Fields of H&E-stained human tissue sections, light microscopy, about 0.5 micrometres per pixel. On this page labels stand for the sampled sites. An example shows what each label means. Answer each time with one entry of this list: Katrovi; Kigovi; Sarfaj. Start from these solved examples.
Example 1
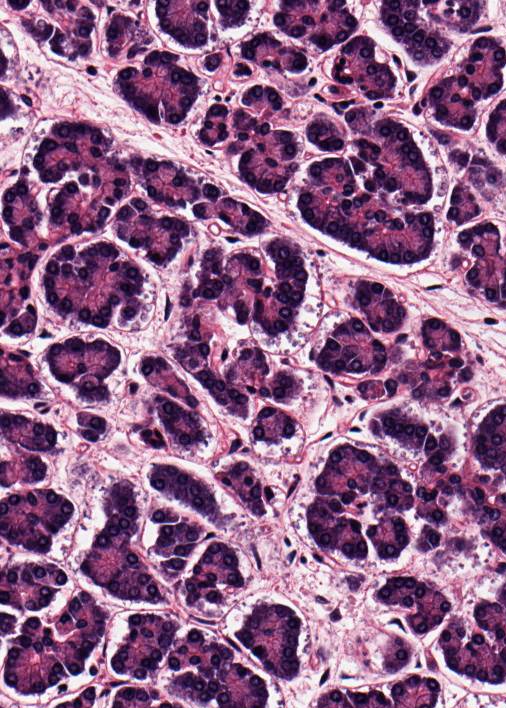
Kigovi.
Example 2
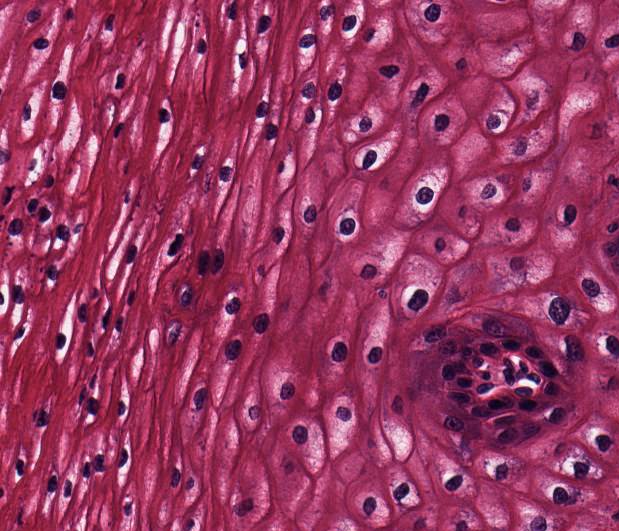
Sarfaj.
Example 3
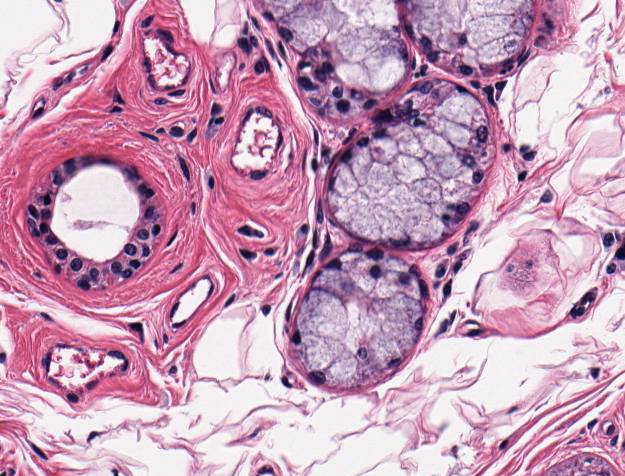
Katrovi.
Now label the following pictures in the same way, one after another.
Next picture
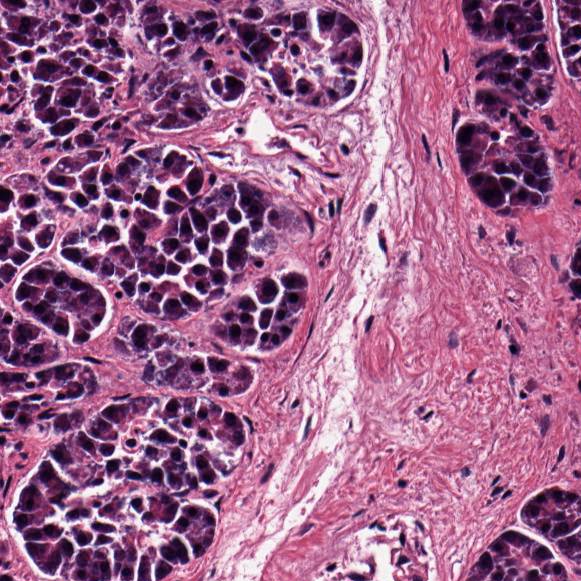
Kigovi.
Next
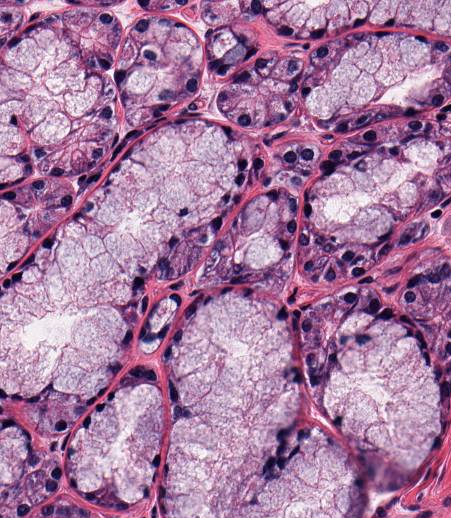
Katrovi.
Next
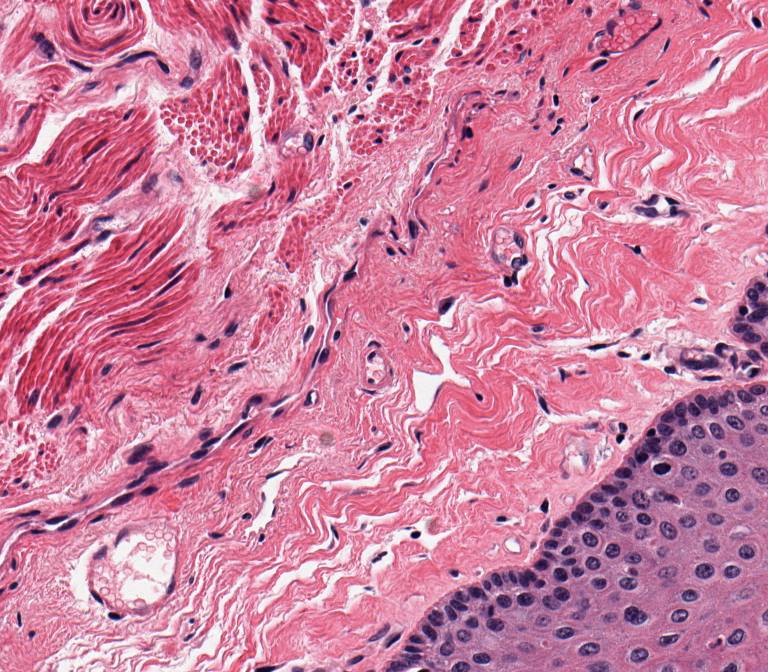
Sarfaj.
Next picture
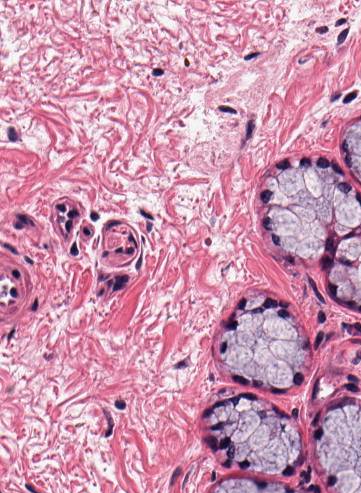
Sarfaj.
